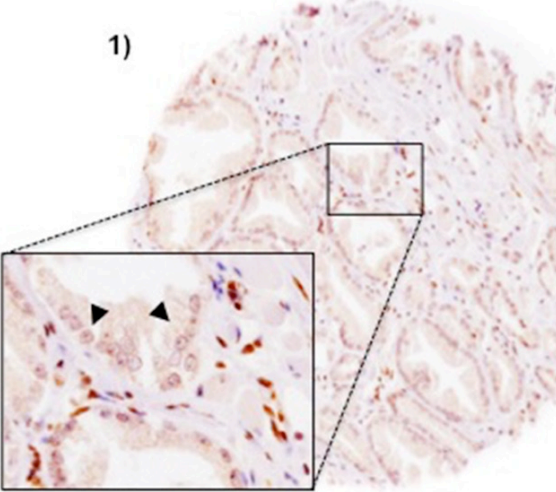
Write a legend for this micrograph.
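A tissue core with many glands lined by epithelial cells with pale, unstained nuclei set in fibrous stroma. In the magnified inset, the gland-lining cells have round pale nuclei and pinkish cytoplasm, while elongated spindle-shaped stromal nuclei between the glands are stained dark brown.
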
